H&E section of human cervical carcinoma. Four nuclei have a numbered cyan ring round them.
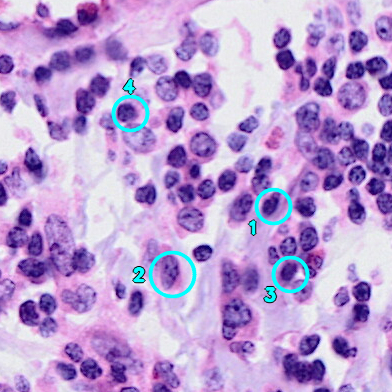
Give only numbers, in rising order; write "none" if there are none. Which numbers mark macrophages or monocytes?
2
